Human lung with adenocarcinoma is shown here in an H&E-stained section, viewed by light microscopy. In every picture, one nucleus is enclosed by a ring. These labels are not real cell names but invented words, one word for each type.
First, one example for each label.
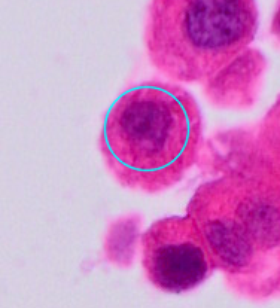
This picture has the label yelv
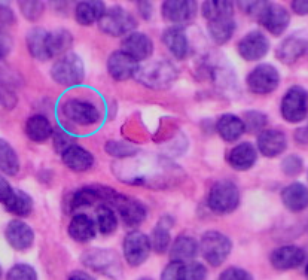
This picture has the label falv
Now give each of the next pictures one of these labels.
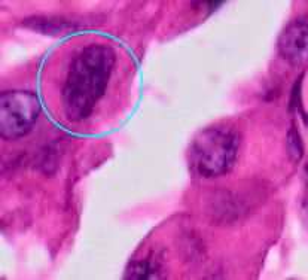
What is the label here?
yelv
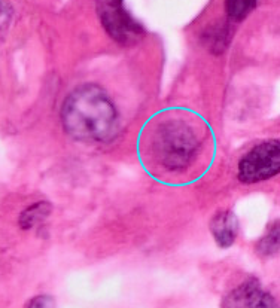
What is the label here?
yelv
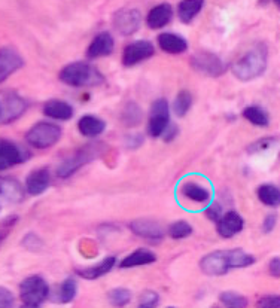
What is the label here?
falv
